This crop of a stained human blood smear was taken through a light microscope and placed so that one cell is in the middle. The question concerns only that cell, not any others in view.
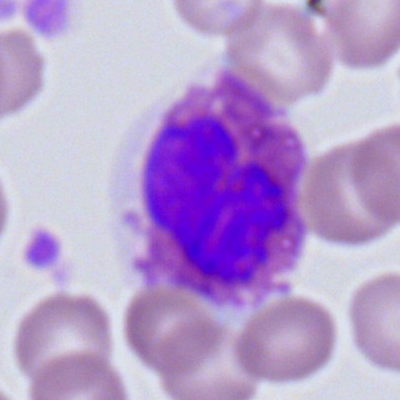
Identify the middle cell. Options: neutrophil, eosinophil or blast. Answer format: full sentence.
The cell in the middle of the field of view is an eosinophil.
